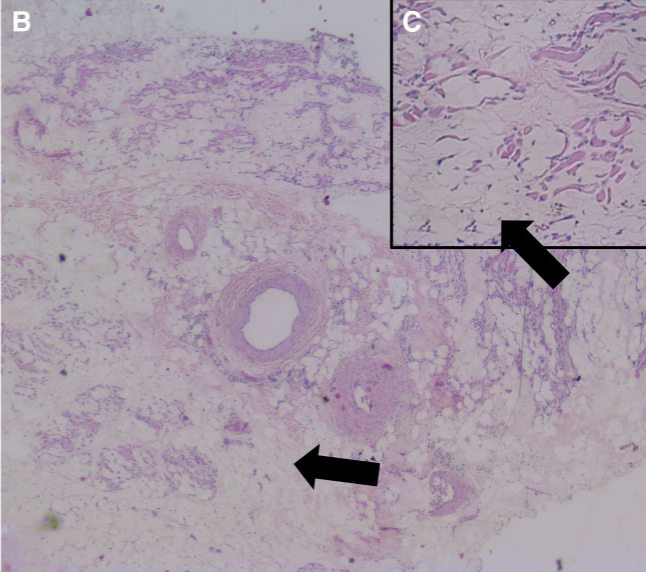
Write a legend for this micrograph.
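This is a low-power section of fatty tissue made of mature adipocytes. Much of the field is a pale, loose meshwork of small, rounded, clear spaces. Near the centre lies a vessel with a thick, concentric pink wall around a round, open lumen. A smaller vessel lies above it and further rounded vascular profiles lie below. Denser strands of pink fibrous tissue run across the upper part of the field. The inset at top right shows wavy pink strands at higher magnification, with scattered small dark nuclei between pale spaces.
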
